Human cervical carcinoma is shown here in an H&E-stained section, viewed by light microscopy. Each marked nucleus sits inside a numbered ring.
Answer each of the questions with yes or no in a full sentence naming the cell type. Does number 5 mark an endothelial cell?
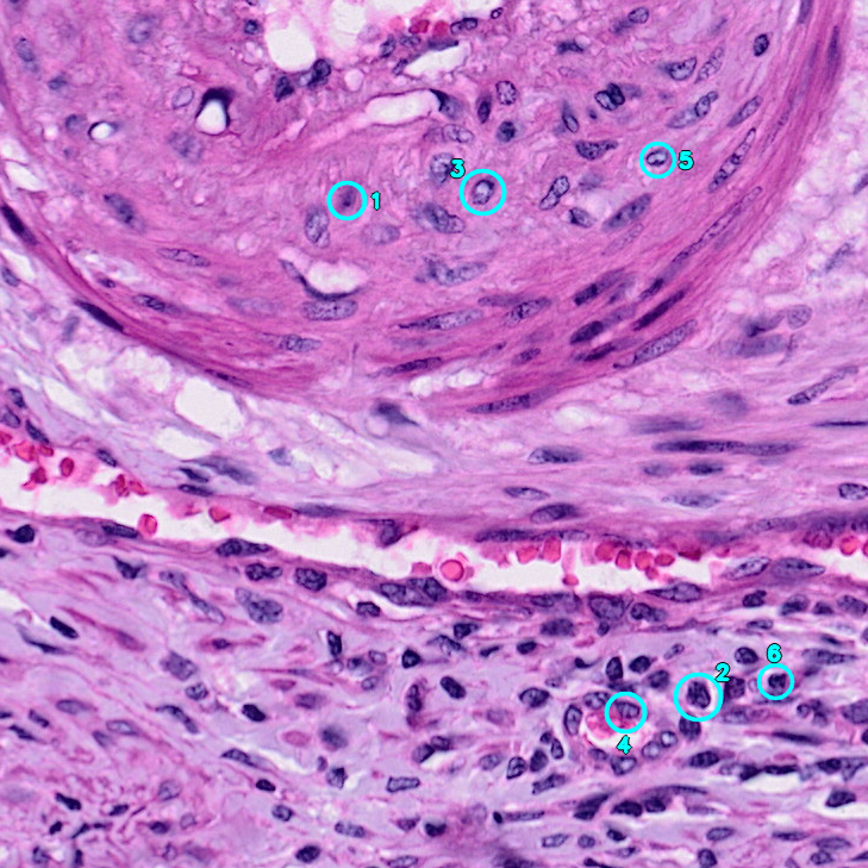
No, number 5 does not mark an endothelial cell; it marks a smooth muscle cell.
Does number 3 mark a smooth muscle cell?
Yes, regarding number 3, the cell is a smooth muscle cell.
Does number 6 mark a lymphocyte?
Yes, with respect to number 6, the cell is a lymphocyte.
